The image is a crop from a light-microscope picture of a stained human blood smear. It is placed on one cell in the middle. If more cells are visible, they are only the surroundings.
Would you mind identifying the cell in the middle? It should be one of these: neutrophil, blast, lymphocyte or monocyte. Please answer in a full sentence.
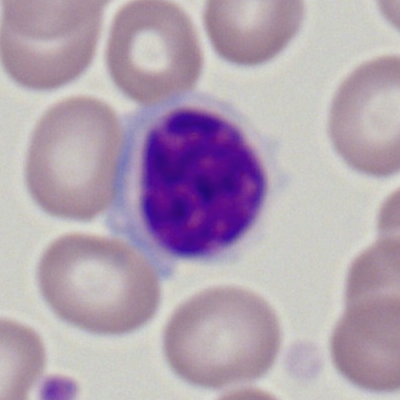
The cell occupying the middle of the crop is a lymphocyte.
